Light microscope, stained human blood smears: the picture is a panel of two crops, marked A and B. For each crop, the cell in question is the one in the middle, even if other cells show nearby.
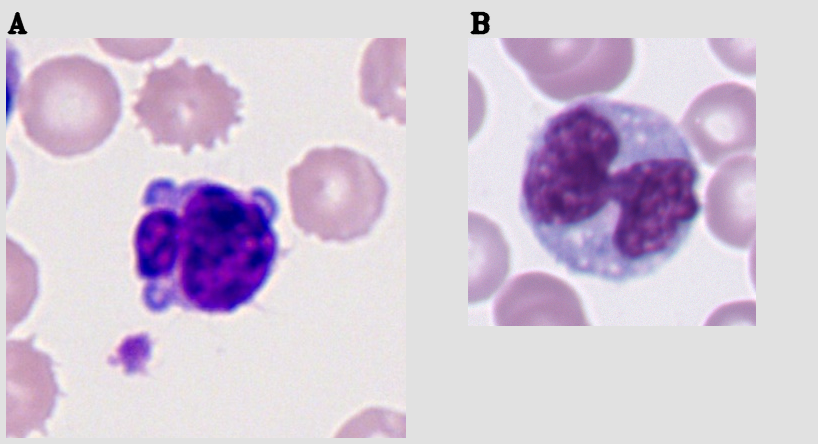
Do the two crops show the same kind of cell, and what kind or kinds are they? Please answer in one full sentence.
No, crop A displays a lymphocyte, and crop B displays a monocyte.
